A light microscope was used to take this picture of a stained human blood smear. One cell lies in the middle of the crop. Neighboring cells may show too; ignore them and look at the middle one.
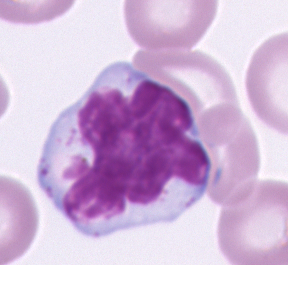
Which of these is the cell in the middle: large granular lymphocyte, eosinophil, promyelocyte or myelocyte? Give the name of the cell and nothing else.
large granular lymphocyte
